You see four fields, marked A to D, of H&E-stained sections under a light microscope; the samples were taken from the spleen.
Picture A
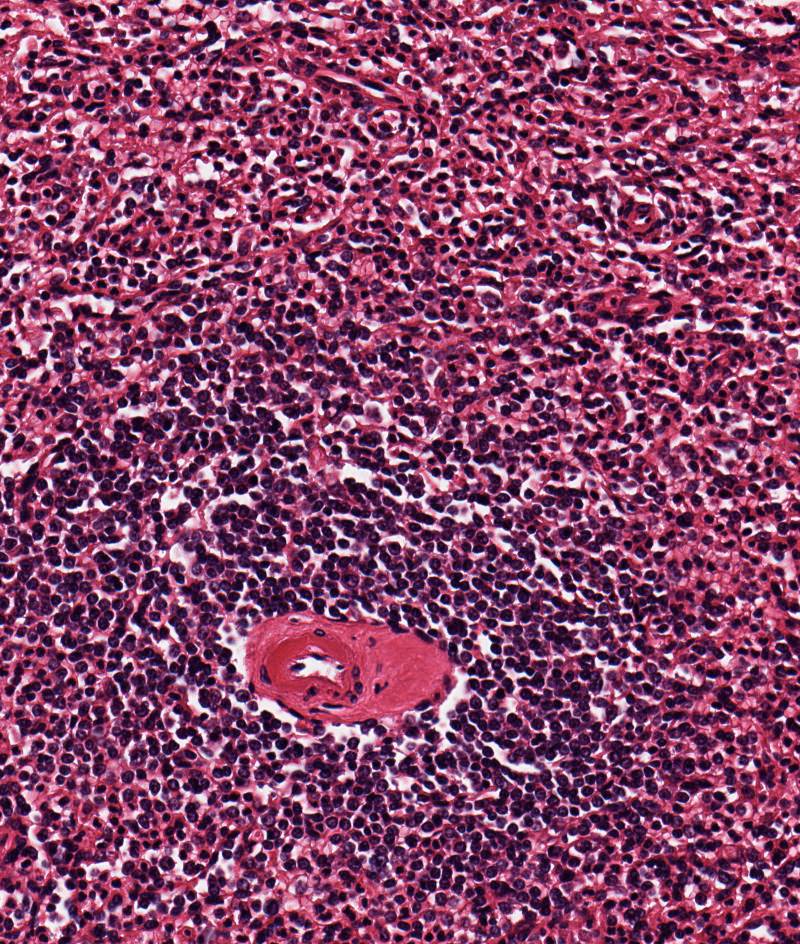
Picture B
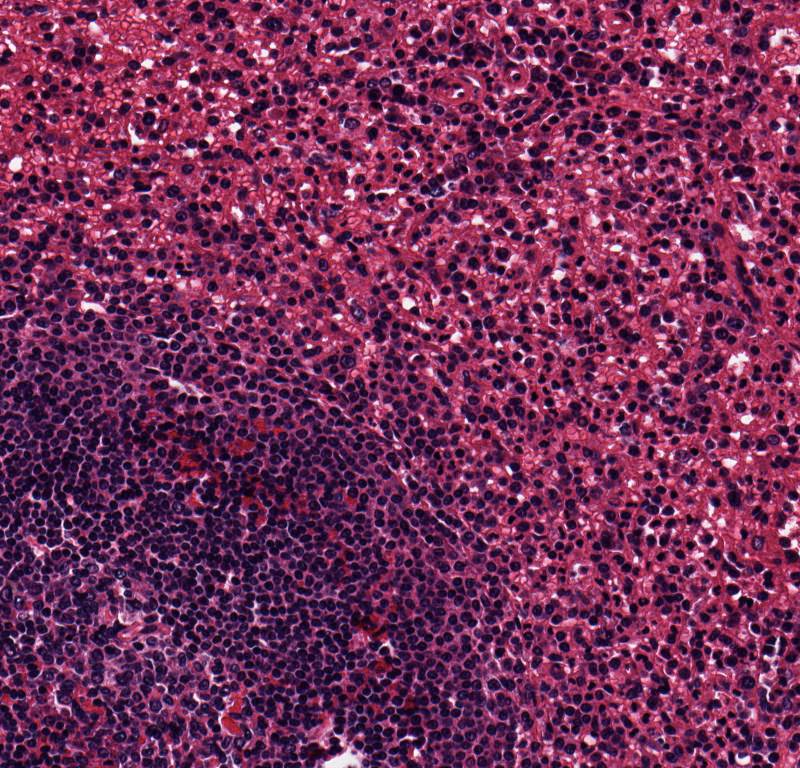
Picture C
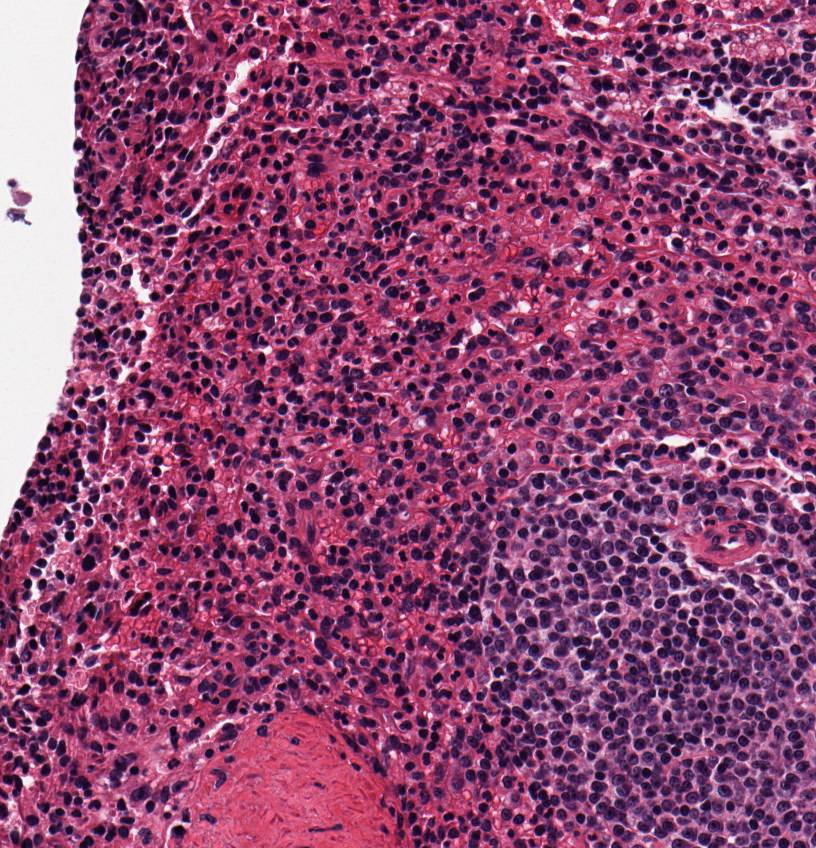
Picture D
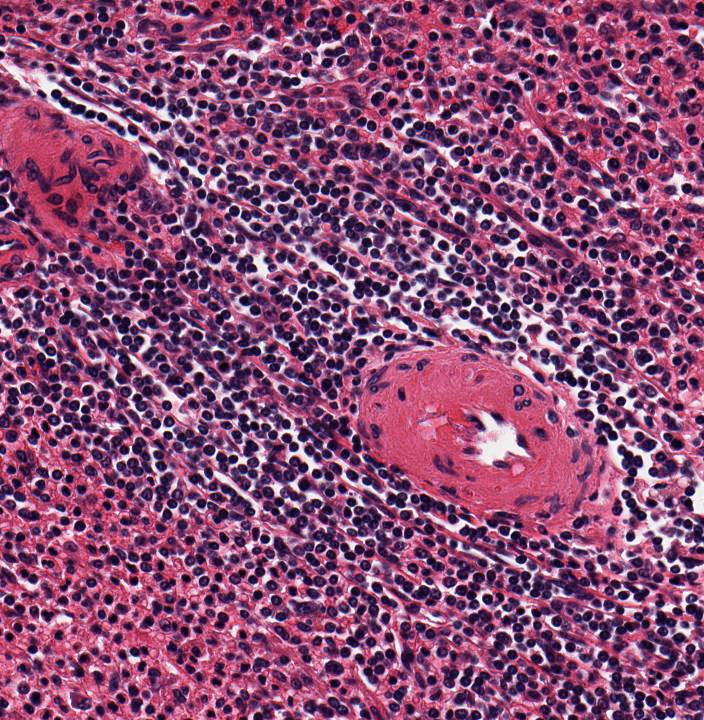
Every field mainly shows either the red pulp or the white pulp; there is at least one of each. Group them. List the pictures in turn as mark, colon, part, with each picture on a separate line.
A: white pulp
B: red pulp
C: red pulp
D: white pulp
